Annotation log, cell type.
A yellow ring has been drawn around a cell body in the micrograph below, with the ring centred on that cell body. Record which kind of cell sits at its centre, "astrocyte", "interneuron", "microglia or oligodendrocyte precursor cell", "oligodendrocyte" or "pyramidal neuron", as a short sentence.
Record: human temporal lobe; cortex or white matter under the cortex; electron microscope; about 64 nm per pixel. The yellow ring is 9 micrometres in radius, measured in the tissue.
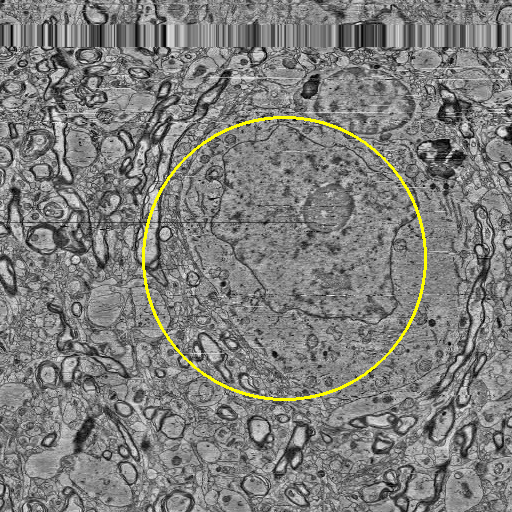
The cell at the centre of this ring is a pyramidal neuron.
